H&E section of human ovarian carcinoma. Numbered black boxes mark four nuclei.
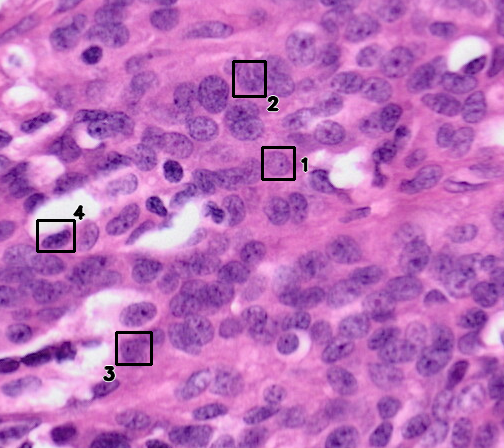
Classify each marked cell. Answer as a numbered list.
1. carcinoma cell
2. carcinoma cell
3. carcinoma cell
4. macrophage or monocyte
